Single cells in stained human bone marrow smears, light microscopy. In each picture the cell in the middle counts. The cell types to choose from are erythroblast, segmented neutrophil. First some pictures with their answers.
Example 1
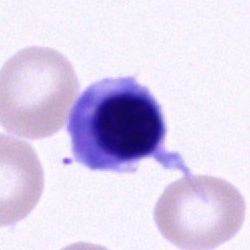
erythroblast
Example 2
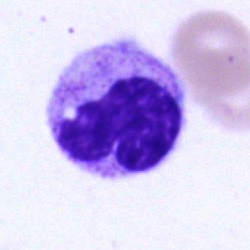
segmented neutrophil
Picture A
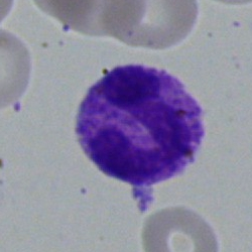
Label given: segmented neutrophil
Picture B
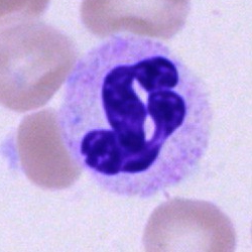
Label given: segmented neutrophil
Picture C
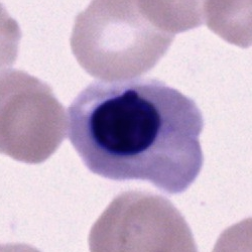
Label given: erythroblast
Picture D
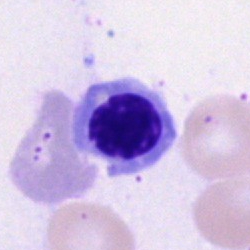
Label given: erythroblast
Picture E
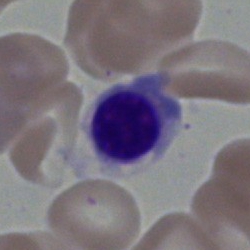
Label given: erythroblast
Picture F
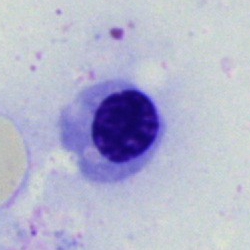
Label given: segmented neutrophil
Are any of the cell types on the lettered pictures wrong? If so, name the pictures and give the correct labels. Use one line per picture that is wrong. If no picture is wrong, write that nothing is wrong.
F: not segmented neutrophil but erythroblast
